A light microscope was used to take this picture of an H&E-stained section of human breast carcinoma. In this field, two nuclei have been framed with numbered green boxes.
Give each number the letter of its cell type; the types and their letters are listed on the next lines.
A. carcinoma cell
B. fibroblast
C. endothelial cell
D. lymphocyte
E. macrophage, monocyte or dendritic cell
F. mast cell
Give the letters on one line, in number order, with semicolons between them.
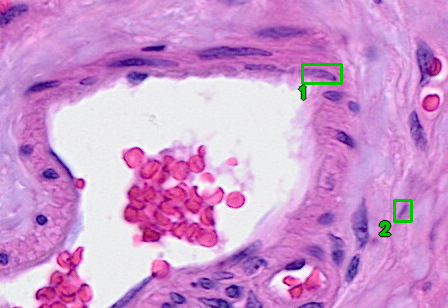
C; B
